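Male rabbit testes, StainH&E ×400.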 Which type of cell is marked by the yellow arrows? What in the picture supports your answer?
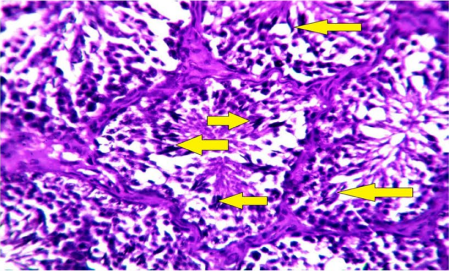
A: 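Bundles of these slender forms radiate into the lumina.
Conclusion: spermatozoids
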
